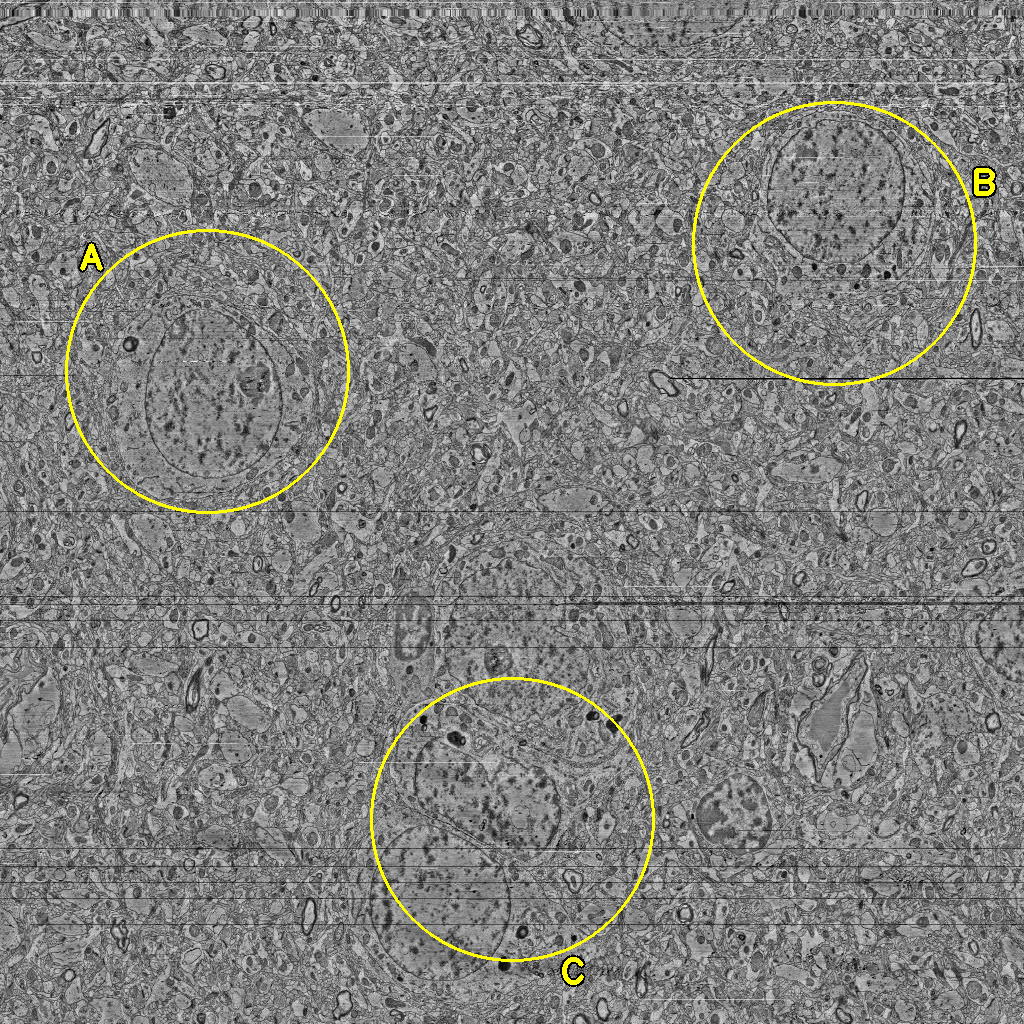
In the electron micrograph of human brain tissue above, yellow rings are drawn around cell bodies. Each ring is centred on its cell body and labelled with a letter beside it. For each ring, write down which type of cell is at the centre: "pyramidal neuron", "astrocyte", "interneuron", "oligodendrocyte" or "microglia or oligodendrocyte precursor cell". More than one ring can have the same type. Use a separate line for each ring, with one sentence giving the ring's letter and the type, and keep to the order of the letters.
At the centre of ring A there is a pyramidal neuron.
At the centre of ring B there is a pyramidal neuron.
At the centre of ring C there is an interneuron.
